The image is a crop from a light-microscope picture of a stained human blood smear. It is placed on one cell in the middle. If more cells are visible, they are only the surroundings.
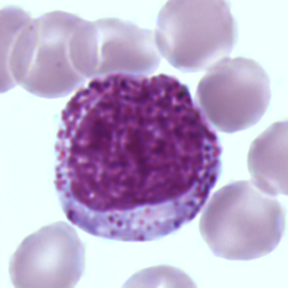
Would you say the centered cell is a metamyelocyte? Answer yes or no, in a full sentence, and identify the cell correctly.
No, instead of a metamyelocyte, the centred cell represents a myelocyte.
